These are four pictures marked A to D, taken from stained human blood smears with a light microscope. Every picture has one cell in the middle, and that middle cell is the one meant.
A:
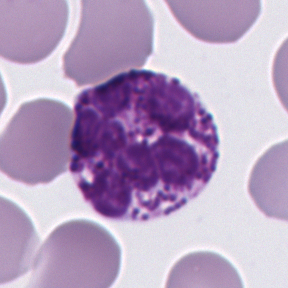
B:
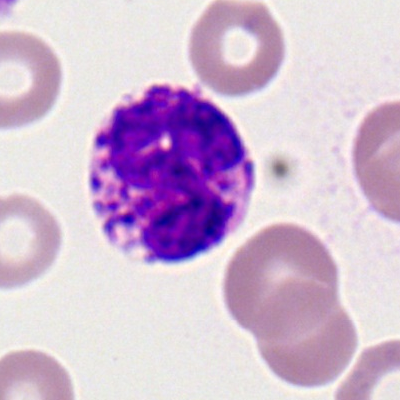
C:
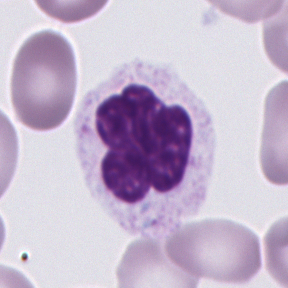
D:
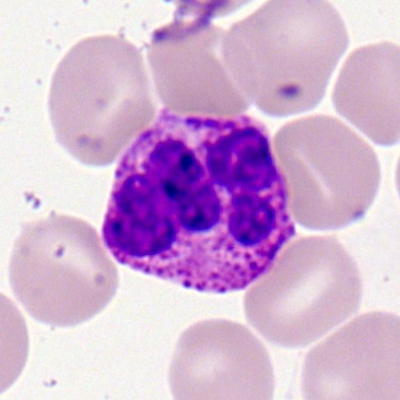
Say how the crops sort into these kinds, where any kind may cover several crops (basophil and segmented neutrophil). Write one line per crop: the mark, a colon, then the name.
A: basophil
B: basophil
C: segmented neutrophil
D: basophil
